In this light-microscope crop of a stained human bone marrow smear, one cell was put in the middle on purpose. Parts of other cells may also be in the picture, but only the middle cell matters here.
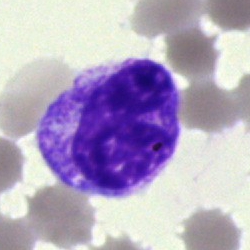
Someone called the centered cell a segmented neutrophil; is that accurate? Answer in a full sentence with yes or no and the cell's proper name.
No, the central cell does not represent a segmented neutrophil, but a band neutrophil.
